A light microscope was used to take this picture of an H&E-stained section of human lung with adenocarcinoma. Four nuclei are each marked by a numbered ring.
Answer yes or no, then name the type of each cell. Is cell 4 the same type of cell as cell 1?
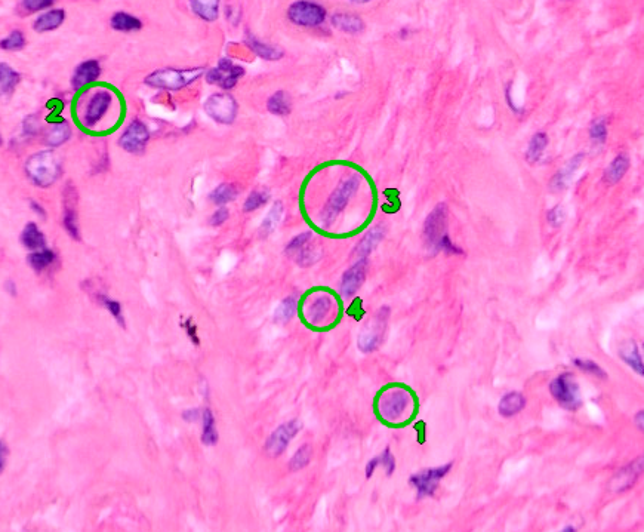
Yes, going by number, cells 4 and 1 are both smooth muscle cells or pericytes.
